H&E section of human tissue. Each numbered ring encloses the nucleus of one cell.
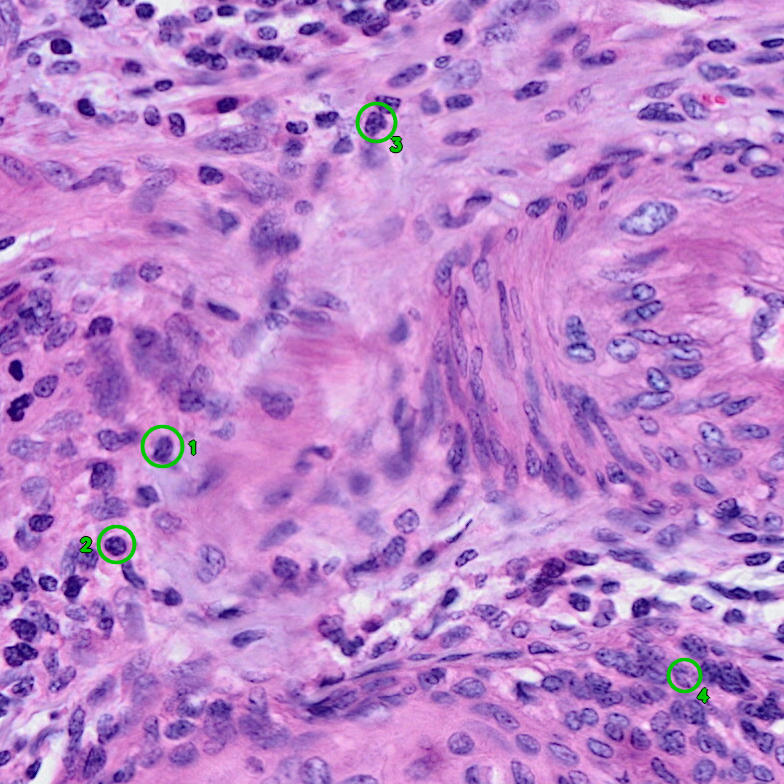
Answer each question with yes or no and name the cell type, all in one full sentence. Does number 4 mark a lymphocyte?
No, cell 4 is classified as a squamous carcinoma cell rather than a lymphocyte.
